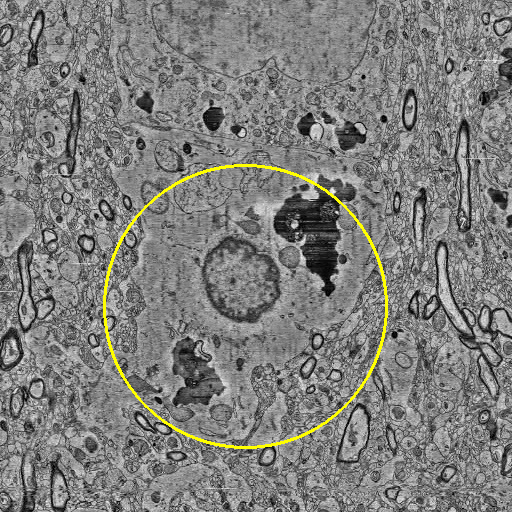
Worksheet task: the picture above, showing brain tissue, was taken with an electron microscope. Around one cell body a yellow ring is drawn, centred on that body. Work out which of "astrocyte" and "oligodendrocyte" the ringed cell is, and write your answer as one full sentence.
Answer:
It is an astrocyte whose cell body lies at the centre of the yellow ring.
